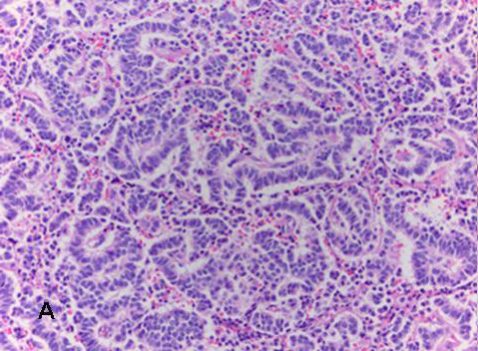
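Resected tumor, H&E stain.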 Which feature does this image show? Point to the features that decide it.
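Tumor cells form elongated, branching ribbons and trabeculae. Ribbons are separated by thin strands of stroma containing red blood cells. Nuclei are small, dark and similar in size and shape.
Answer: chords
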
